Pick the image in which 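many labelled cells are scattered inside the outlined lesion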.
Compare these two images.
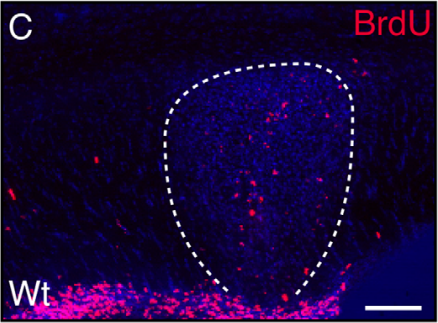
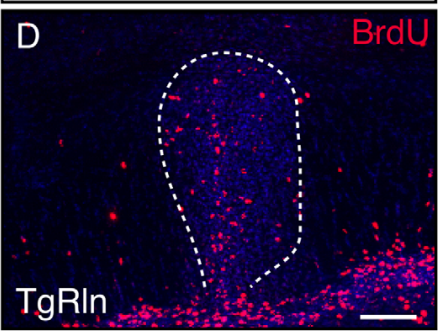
The second image.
